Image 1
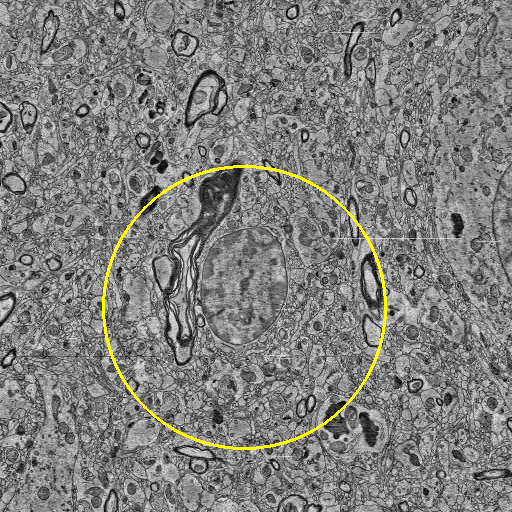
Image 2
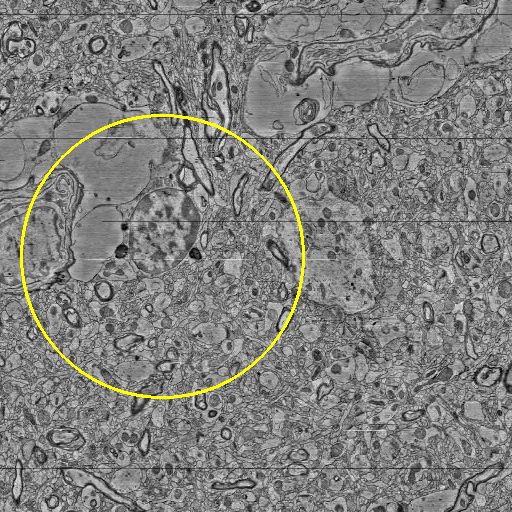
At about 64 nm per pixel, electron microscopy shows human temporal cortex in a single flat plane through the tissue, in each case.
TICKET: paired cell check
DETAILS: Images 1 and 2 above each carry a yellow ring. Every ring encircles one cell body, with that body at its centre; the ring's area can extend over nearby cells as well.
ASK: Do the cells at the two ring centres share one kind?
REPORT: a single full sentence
Yes, the ring-centre cells of Images 1 and 2 belong to a single kind.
